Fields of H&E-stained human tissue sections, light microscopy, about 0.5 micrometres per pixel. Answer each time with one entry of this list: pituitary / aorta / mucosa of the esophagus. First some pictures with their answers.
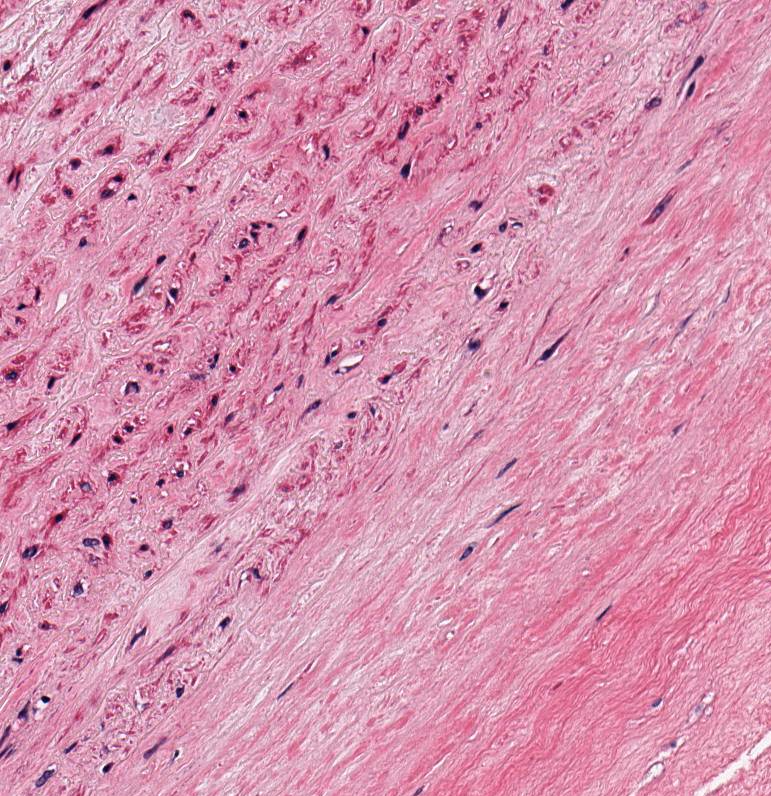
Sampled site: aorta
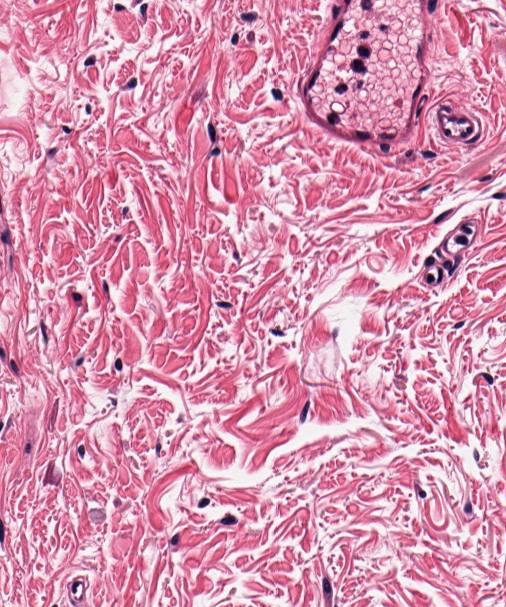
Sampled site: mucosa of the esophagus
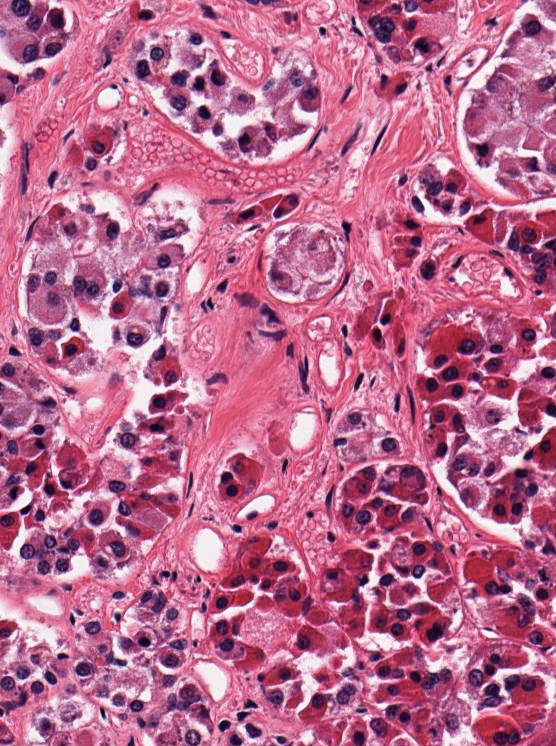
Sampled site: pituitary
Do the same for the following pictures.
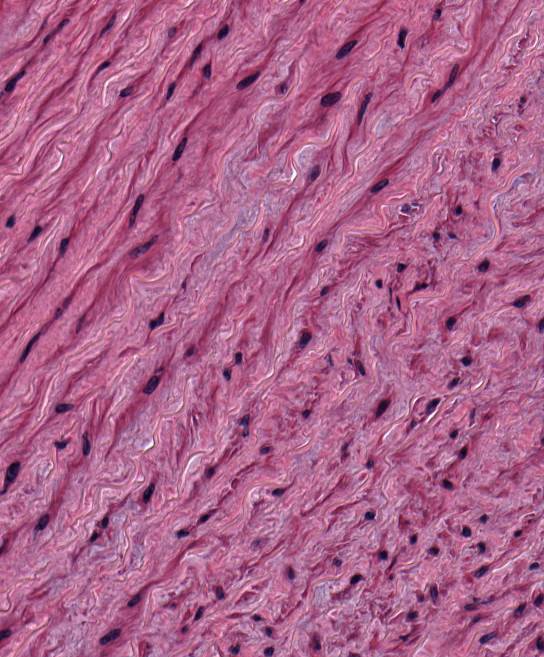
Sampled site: aorta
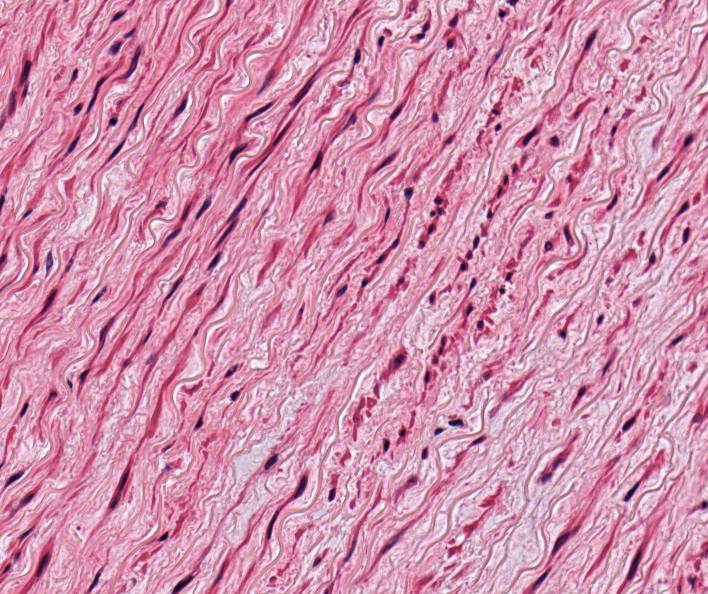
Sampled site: aorta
